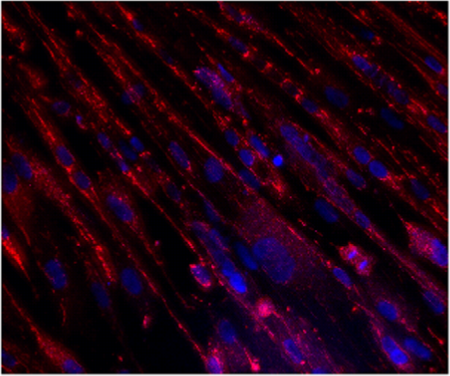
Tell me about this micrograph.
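These are cultured myotubes, long slender muscle cells that lie side by side and run in parallel diagonally across the field. Oval blue nuclei are strung along the cells, several within the length of one cell. Some cells have a fainter, more diffuse pink cytoplasm around their nuclei.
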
